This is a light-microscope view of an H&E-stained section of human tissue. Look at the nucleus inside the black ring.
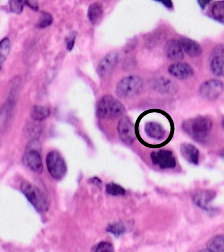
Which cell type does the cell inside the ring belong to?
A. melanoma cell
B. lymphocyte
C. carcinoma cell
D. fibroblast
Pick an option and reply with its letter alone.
C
